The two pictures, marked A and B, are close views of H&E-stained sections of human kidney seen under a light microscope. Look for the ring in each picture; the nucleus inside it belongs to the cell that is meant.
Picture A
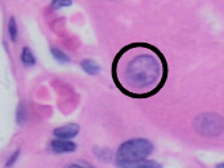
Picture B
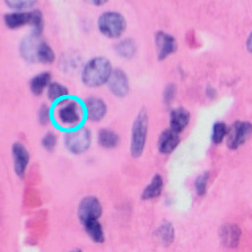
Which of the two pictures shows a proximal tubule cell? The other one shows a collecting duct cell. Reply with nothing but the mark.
A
